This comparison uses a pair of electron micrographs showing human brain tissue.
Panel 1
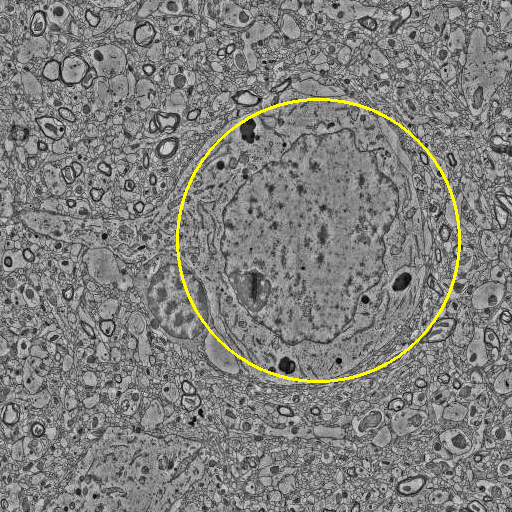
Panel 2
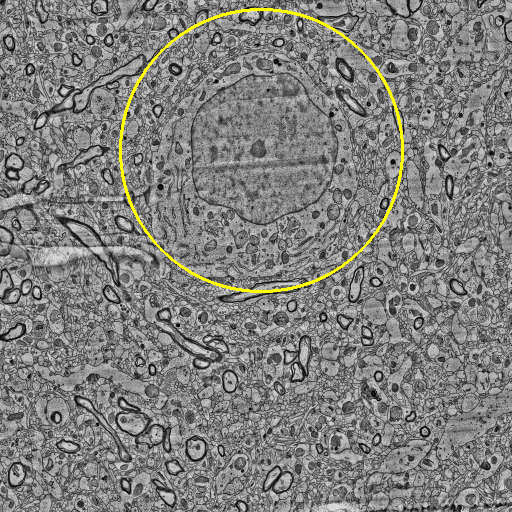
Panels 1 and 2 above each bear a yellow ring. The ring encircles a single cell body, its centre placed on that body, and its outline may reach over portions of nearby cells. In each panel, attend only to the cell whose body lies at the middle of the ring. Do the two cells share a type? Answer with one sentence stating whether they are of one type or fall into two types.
In Panel 1 and Panel 2, the cells at the centres of the rings are of one type.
